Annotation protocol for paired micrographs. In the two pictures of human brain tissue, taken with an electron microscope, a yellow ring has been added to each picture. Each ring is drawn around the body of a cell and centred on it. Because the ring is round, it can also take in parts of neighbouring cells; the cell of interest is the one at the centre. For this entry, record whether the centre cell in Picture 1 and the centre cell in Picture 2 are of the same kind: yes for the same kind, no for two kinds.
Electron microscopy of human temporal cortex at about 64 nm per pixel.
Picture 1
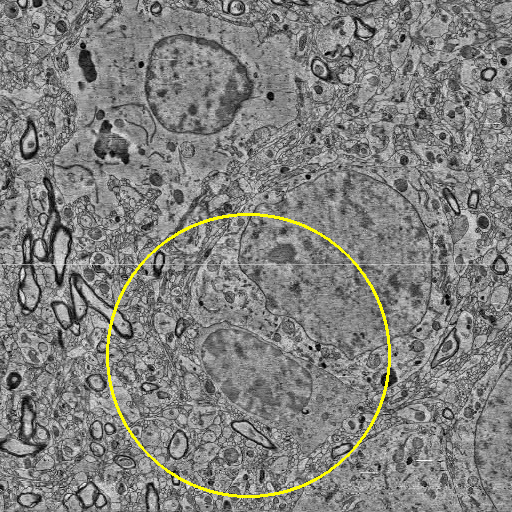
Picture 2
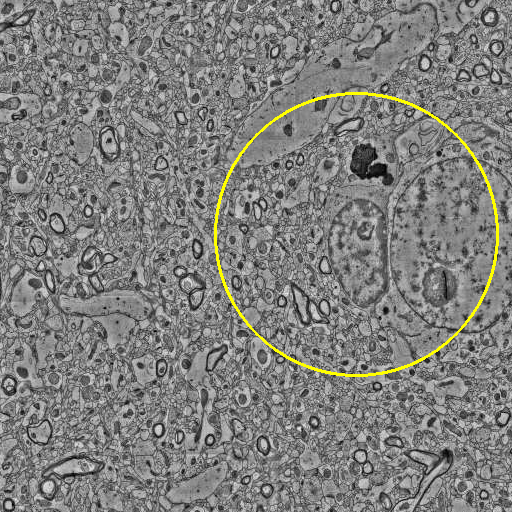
yes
